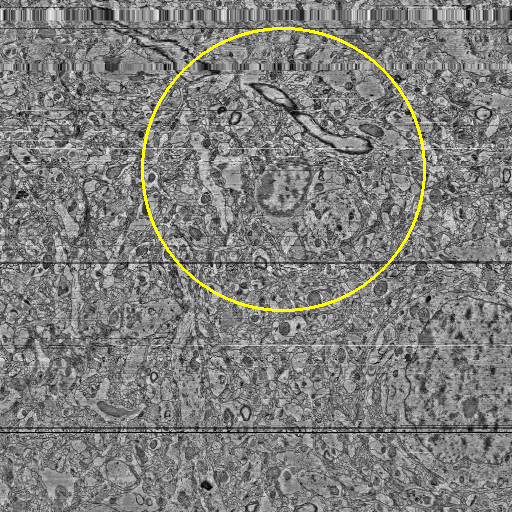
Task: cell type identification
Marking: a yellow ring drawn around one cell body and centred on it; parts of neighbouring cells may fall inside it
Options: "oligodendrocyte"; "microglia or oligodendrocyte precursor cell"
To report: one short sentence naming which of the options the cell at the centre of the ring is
The cell at the centre of the ring is an oligodendrocyte.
